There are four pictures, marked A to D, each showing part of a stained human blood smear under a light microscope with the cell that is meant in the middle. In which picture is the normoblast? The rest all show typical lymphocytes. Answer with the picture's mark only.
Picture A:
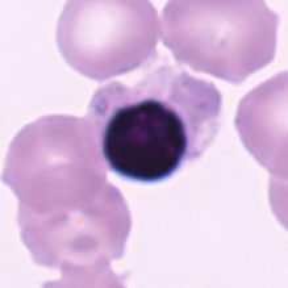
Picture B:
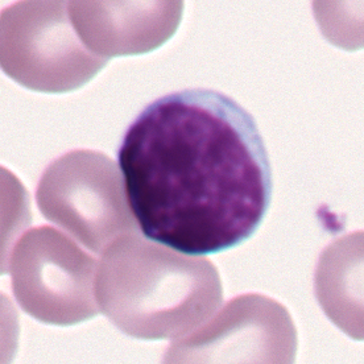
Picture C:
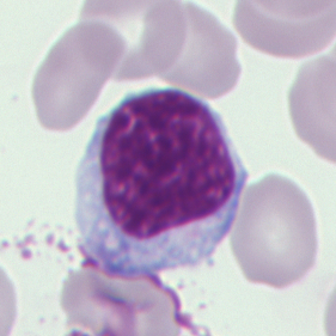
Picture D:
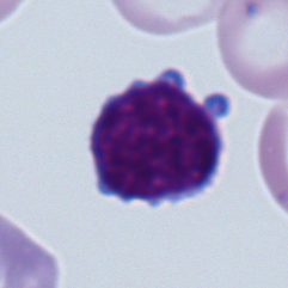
A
